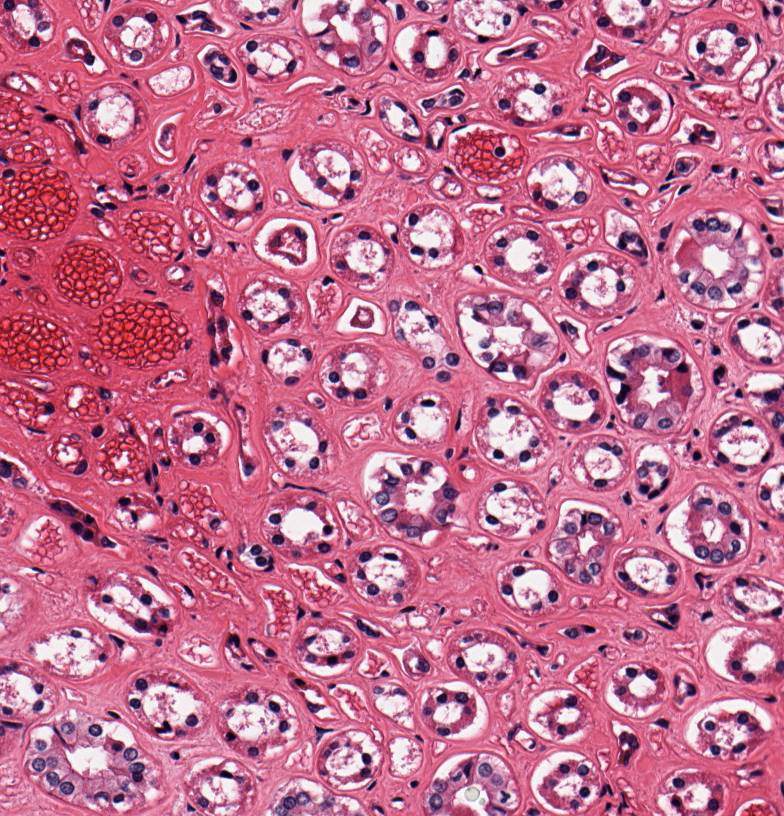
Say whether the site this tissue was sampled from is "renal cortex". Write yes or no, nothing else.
yes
